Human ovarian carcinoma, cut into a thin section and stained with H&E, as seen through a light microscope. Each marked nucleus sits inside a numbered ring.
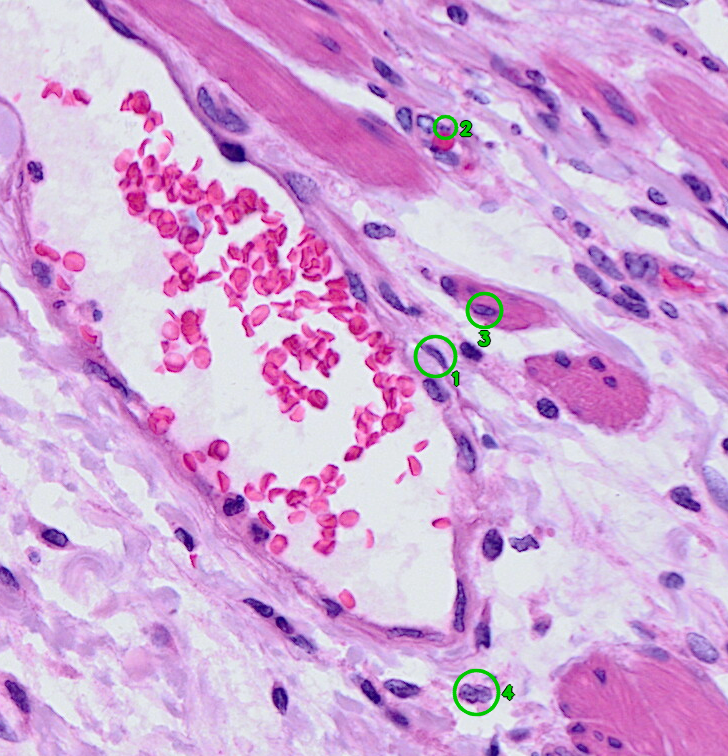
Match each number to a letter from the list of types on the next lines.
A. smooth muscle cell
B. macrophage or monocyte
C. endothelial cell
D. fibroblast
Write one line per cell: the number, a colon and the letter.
1: D
2: C
3: A
4: B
